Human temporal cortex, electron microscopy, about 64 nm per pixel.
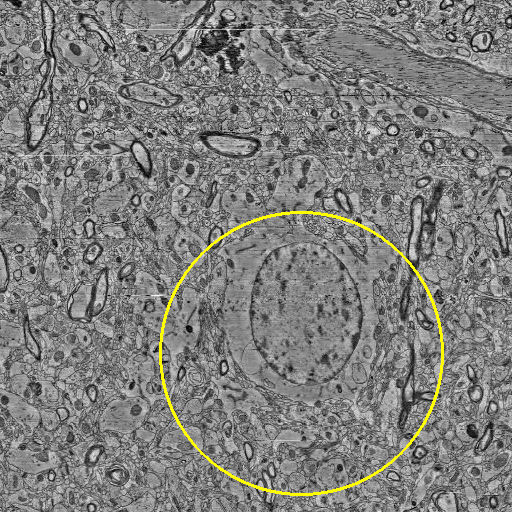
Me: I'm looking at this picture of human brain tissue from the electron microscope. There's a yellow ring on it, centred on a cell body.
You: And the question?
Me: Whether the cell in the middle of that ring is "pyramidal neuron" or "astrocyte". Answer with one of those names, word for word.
astrocyte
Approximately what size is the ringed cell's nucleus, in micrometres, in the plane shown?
In this plane the nucleus spans approximately 9 by 7 micrometers.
